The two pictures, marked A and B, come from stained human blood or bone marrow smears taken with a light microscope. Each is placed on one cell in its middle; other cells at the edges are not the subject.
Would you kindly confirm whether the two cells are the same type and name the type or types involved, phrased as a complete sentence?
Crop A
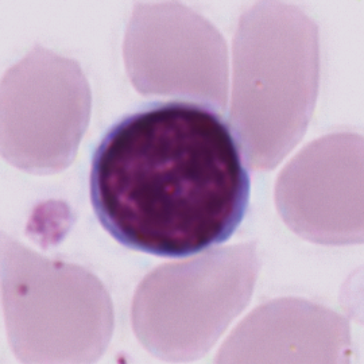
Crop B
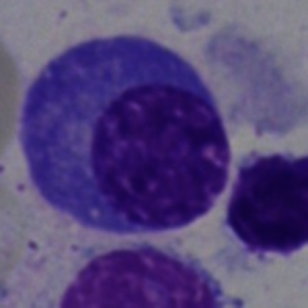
No, the cell at the middle of crop A is a lymphocyte, while crop B centres on a plasma cell.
